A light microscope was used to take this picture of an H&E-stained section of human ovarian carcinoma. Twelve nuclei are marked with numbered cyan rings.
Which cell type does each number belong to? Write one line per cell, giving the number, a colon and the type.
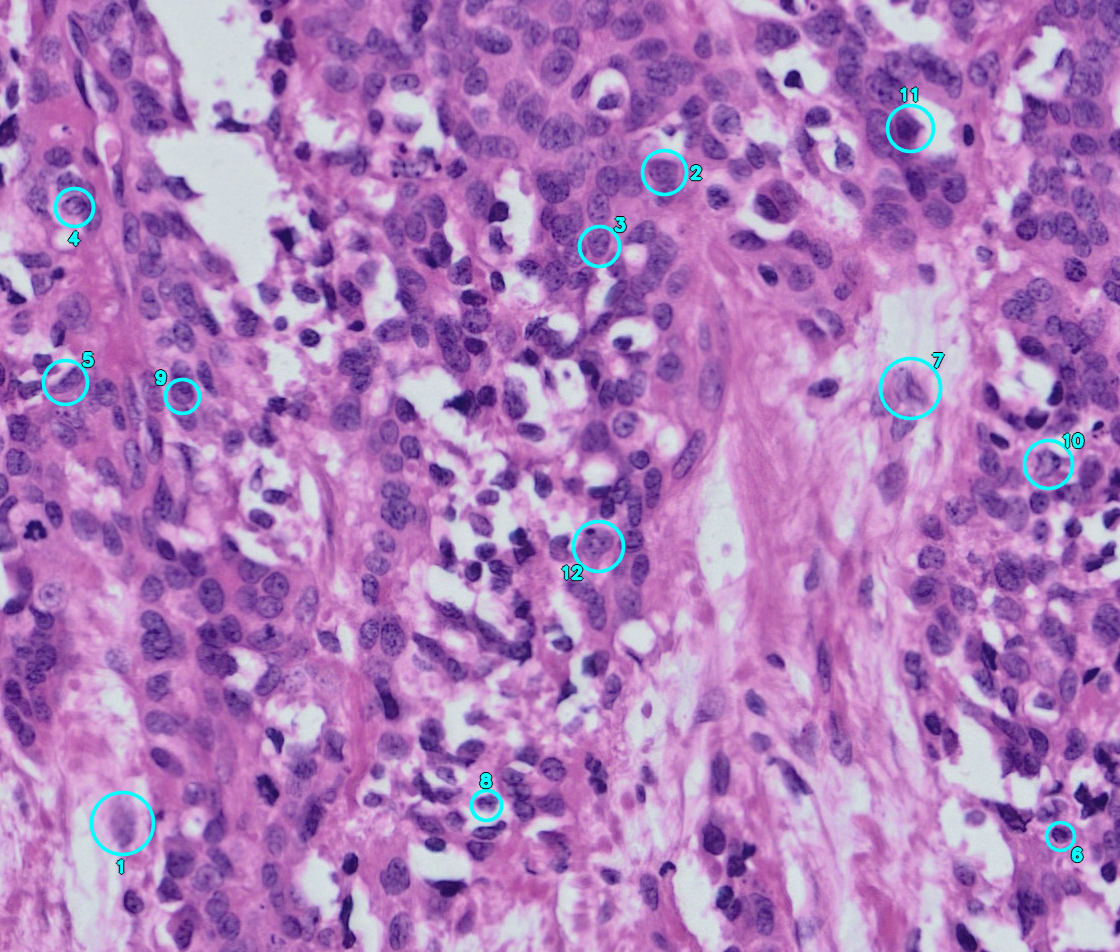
1: fibroblast
2: carcinoma cell
3: carcinoma cell
4: macrophage or monocyte
5: carcinoma cell
6: macrophage or monocyte
7: fibroblast
8: carcinoma cell
9: carcinoma cell
10: macrophage or monocyte
11: carcinoma cell
12: carcinoma cell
